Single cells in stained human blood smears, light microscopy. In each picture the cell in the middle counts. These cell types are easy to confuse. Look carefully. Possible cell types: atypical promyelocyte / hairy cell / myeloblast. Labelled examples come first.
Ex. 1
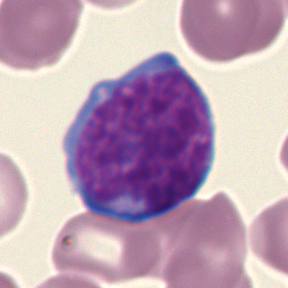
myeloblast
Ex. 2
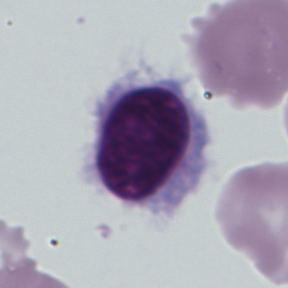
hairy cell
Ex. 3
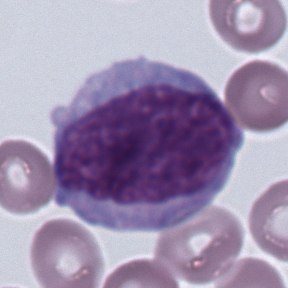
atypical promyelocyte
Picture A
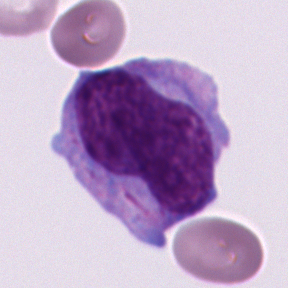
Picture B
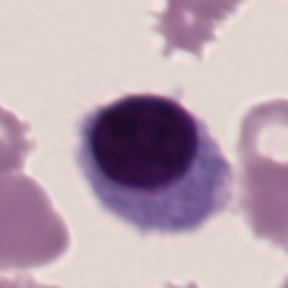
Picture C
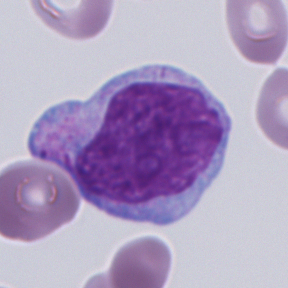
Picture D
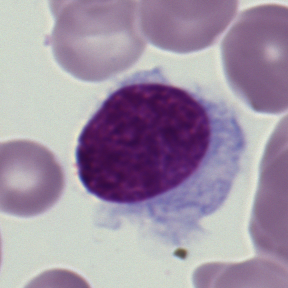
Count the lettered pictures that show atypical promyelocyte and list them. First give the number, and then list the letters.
2, namely A, C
